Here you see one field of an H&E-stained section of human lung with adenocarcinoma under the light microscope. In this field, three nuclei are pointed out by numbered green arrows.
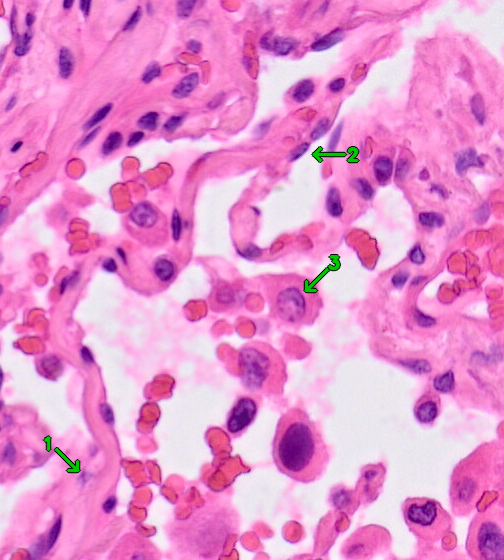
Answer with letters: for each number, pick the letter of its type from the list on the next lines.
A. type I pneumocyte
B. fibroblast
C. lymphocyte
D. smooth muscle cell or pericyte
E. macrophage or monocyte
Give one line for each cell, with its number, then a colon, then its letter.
1: B
2: A
3: E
